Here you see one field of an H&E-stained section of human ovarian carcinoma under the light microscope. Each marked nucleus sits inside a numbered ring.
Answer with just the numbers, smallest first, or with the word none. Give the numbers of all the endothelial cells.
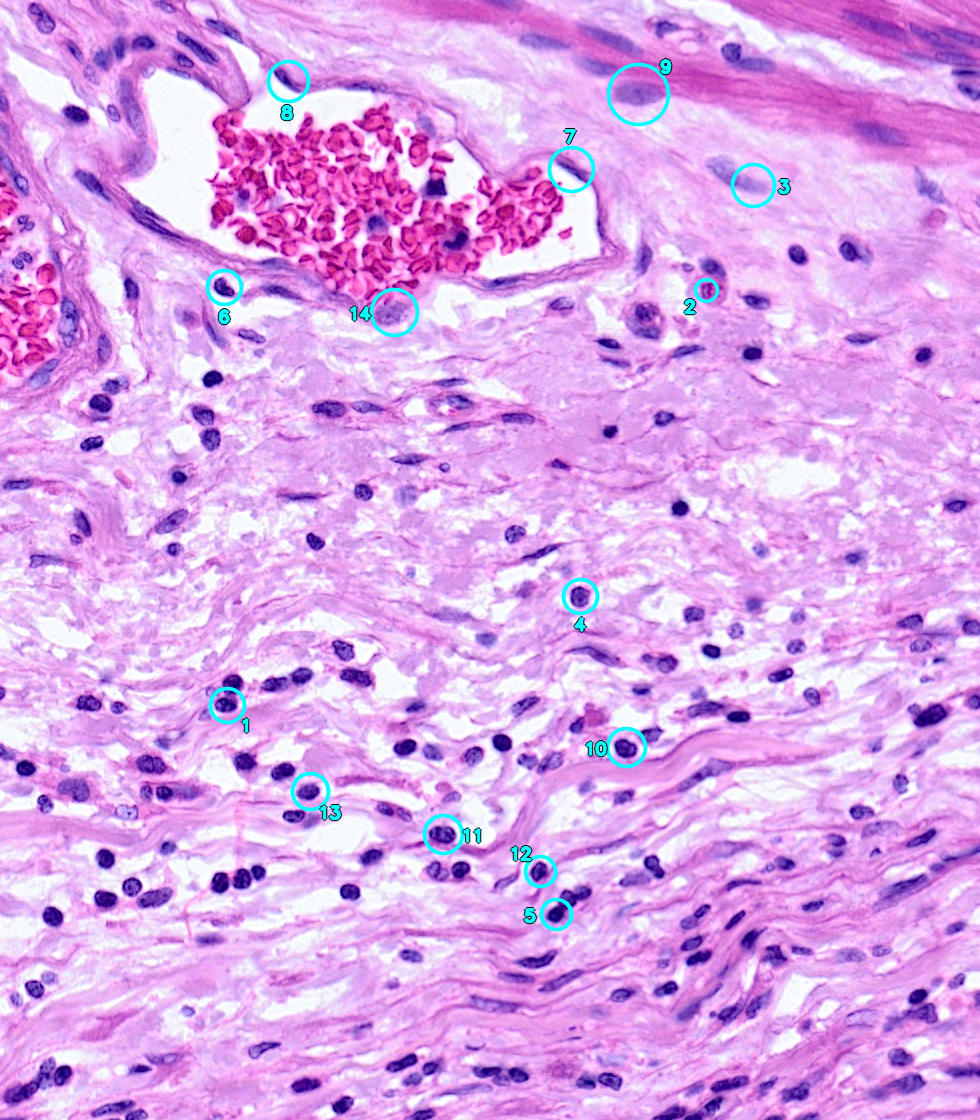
2, 7, 8, 14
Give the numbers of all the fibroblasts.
3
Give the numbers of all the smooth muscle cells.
9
